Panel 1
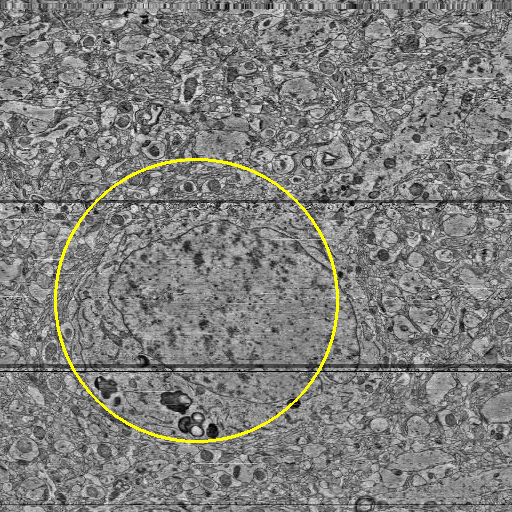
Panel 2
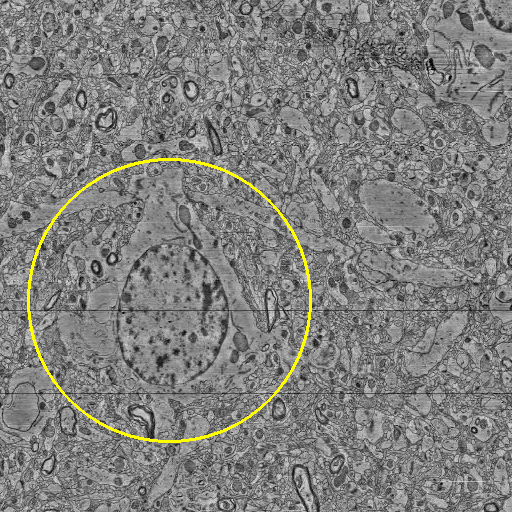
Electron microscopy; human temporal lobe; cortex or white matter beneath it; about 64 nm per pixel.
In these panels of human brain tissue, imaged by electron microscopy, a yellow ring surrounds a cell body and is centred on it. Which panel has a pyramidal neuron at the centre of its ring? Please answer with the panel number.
1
